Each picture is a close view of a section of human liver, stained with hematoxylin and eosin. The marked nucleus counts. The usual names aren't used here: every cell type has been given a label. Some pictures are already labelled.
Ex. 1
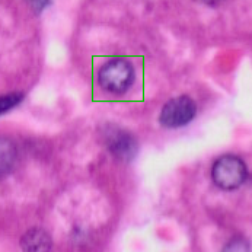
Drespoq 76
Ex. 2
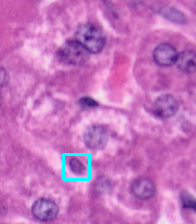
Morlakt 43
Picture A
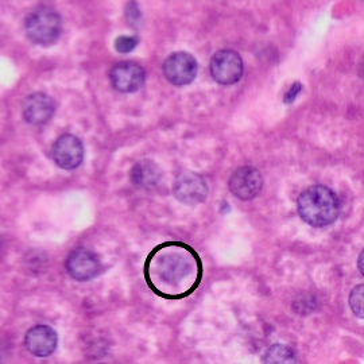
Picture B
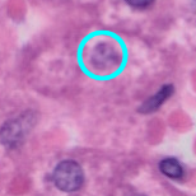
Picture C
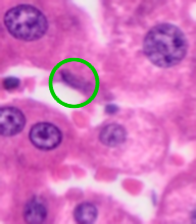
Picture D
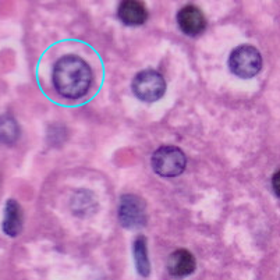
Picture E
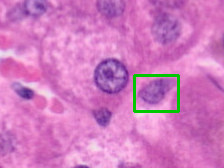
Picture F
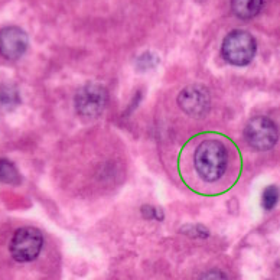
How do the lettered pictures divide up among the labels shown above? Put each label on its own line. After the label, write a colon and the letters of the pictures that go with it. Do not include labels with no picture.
Drespoq 76: A, B, D, F
Morlakt 43: C, E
